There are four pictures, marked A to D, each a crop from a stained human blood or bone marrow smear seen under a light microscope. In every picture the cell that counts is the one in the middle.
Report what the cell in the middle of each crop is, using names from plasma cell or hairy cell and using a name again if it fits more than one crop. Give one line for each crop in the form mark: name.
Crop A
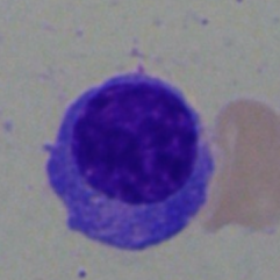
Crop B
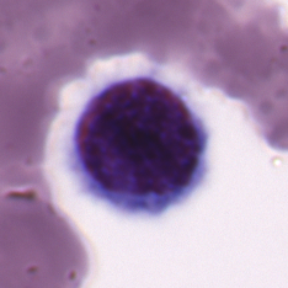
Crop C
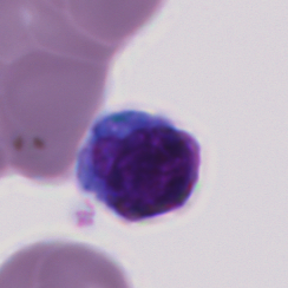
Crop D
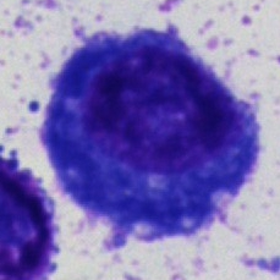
A: plasma cell
B: hairy cell
C: plasma cell
D: plasma cell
